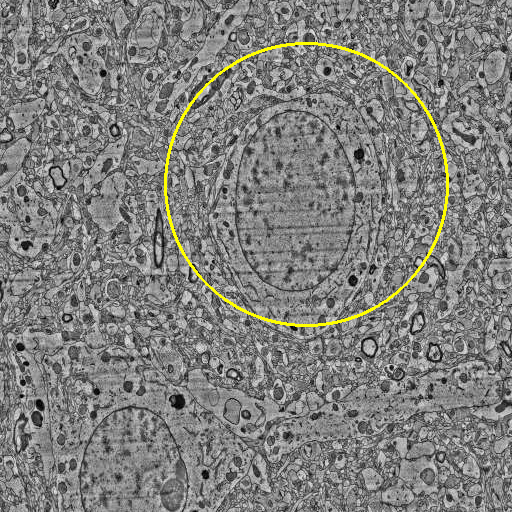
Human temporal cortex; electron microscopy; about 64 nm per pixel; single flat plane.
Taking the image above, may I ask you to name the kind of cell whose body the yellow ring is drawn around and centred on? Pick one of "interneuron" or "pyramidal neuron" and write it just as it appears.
pyramidal neuron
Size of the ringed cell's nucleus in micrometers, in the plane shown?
Roughly 12 by 8 micrometres in this plane, for the nucleus of the ringed cell.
